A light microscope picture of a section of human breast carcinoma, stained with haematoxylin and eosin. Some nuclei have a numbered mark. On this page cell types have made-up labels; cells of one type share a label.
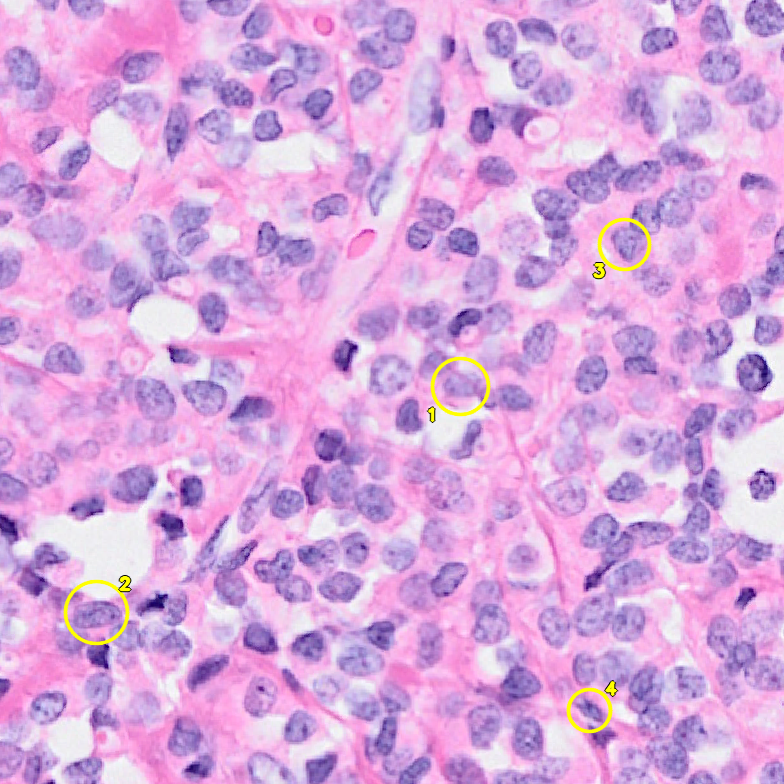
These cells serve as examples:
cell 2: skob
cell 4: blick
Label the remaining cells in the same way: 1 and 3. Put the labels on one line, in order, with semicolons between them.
skob; skob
